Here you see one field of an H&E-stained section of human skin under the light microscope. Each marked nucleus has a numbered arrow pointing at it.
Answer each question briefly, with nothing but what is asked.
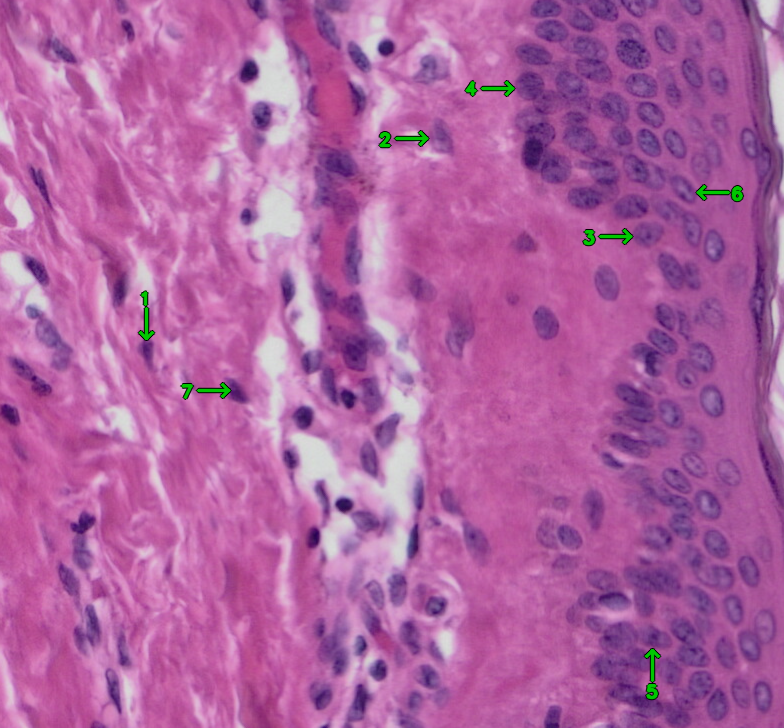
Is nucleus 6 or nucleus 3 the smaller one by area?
6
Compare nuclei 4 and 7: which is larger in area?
4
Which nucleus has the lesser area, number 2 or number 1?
1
